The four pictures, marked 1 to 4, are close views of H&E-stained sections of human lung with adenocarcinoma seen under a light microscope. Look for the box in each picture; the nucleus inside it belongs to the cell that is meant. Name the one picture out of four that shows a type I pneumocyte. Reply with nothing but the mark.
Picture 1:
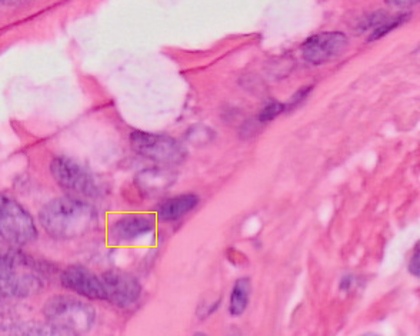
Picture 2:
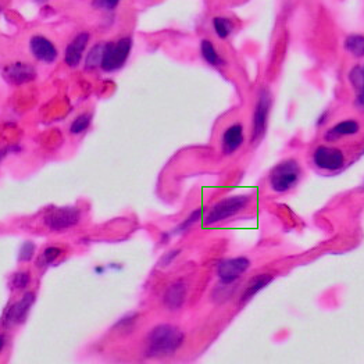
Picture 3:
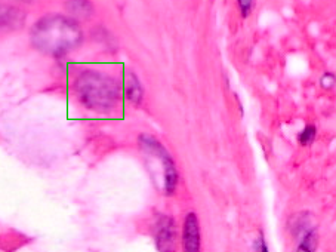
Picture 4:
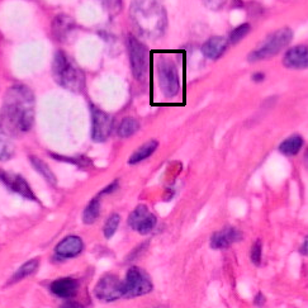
2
